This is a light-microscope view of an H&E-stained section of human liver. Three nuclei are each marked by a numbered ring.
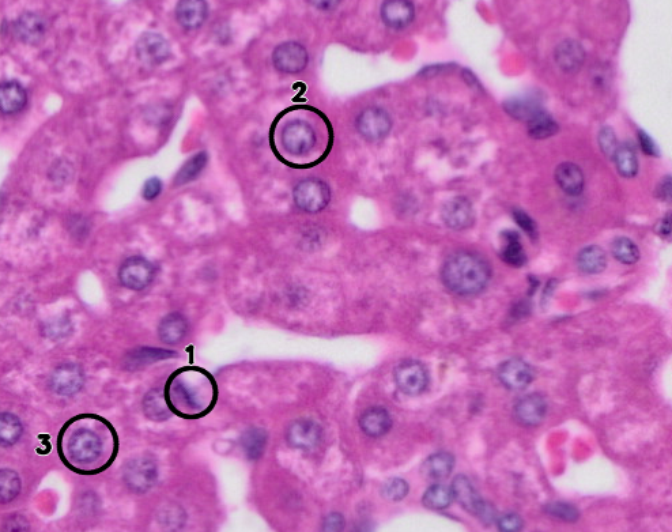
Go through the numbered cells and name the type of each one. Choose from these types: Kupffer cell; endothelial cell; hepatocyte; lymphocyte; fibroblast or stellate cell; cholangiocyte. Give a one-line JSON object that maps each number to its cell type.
{"1": "fibroblast or stellate cell", "2": "hepatocyte", "3": "hepatocyte"}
